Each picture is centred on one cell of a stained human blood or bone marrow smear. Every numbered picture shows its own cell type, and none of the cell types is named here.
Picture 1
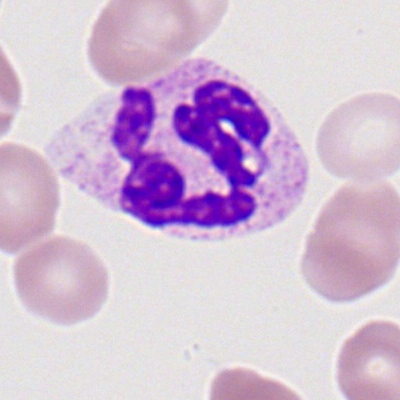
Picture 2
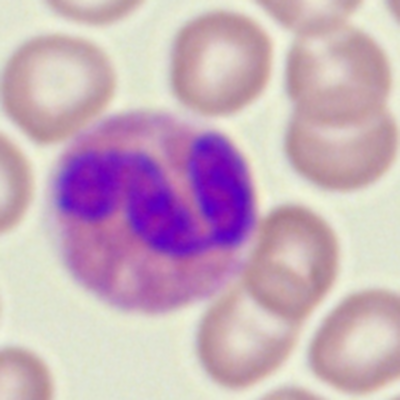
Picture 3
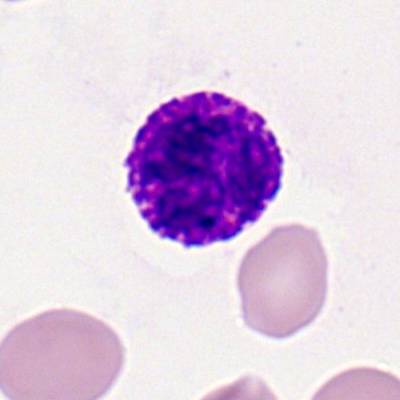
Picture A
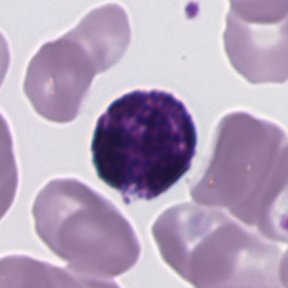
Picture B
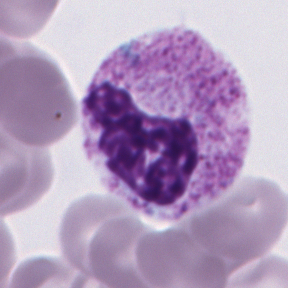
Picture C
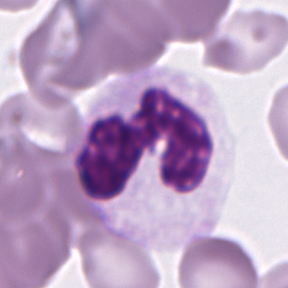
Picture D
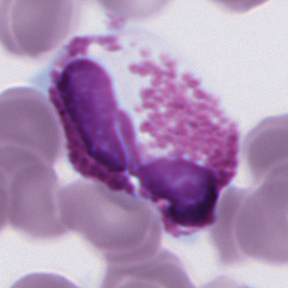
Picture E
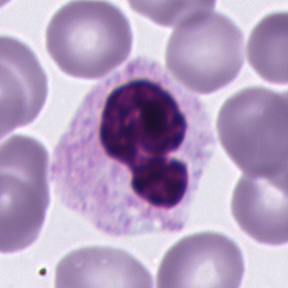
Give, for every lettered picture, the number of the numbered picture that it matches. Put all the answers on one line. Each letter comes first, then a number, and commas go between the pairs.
A 3, B 1, C 1, D 2, E 1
